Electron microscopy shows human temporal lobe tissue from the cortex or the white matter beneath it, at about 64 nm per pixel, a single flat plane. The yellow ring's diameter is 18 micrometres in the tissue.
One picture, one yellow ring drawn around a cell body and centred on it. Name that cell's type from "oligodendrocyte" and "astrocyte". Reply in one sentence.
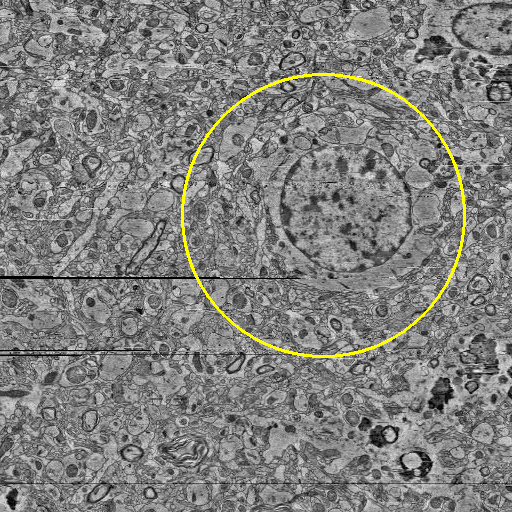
Centred in the ring is an astrocyte.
